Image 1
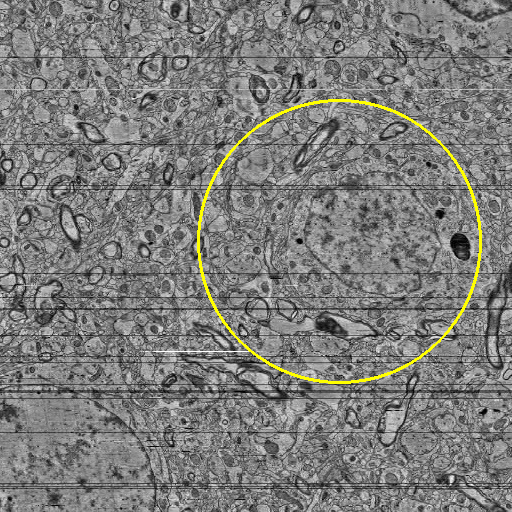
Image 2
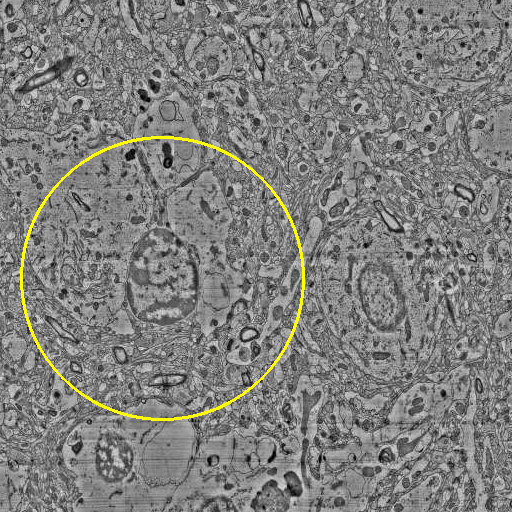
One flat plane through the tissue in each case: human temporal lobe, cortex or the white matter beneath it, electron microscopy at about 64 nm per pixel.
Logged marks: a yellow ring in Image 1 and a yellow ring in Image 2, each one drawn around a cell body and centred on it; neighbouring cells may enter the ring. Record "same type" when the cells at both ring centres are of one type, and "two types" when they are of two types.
two types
